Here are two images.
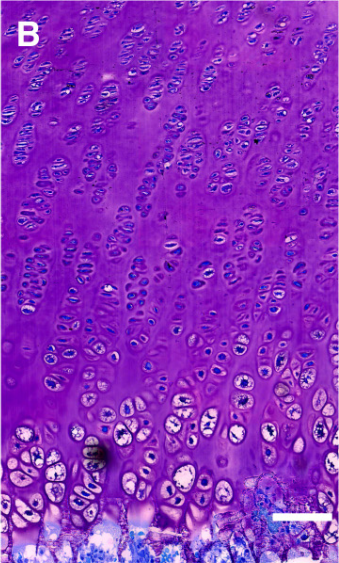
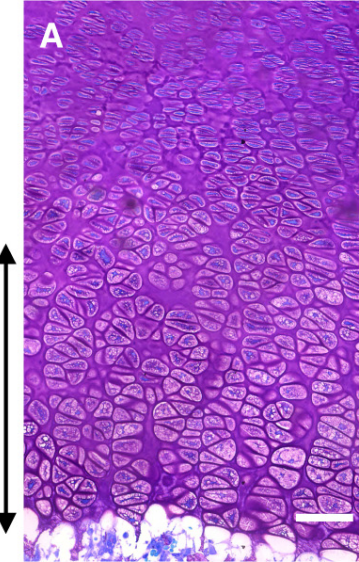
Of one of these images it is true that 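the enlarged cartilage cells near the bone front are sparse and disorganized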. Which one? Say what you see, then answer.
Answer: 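First image: a short band of scattered, irregularly placed enlarged cells in abundant matrix, without orderly columns. Second image: a tall band of densely packed, evenly enlarged cells arranged in columns.
Answer: the first image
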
